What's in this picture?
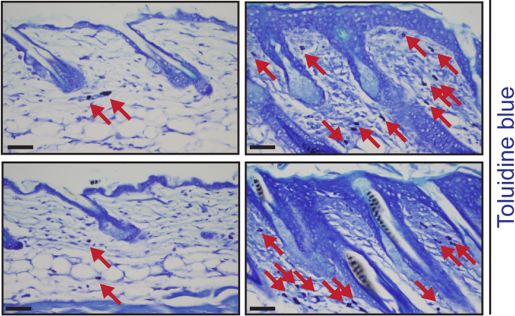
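The surface epithelium forms a blue band on top. Hair follicles run obliquely down from it, and in some images rounded clear fat cells lie deeper. The mast cells are small, compact and stain dark purple, much darker than the pale blue collagen around them. In the images on the right the epithelium is thicker and the dermis is denser. More dark purple cells are marked there, scattered between the follicles.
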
